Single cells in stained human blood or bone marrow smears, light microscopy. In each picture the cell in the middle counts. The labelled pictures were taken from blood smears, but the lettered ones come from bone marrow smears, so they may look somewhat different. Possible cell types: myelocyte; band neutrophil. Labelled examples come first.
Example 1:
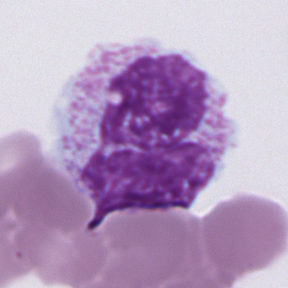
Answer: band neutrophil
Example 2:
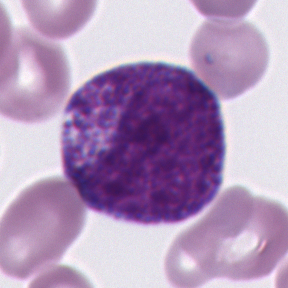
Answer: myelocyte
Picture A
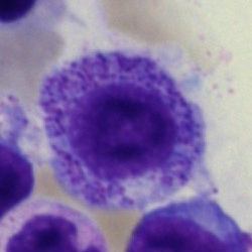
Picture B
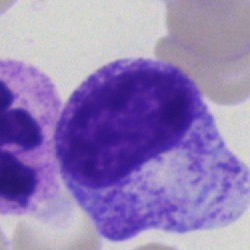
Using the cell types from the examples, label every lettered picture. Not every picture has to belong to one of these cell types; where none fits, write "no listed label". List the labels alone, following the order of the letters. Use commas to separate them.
myelocyte, myelocyte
